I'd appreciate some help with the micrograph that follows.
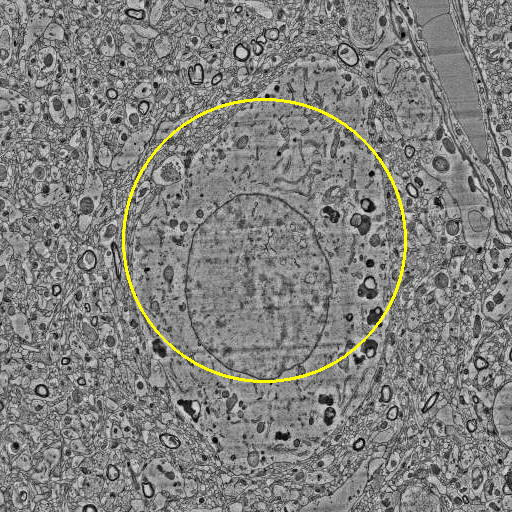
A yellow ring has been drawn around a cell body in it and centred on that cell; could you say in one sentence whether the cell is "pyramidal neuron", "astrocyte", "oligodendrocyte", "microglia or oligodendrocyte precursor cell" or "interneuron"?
It is a pyramidal neuron at the centre of the ring.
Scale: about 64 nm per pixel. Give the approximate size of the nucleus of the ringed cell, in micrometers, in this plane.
The nucleus works out at approximately 12 by 9 micrometres in this plane.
